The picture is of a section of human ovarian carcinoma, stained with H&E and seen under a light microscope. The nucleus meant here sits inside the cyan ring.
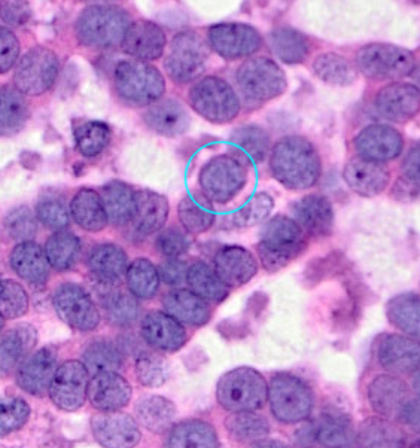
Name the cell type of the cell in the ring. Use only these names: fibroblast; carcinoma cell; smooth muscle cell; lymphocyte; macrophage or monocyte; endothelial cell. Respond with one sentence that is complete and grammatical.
Right, so the cell in the ring is a carcinoma cell, to answer that.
